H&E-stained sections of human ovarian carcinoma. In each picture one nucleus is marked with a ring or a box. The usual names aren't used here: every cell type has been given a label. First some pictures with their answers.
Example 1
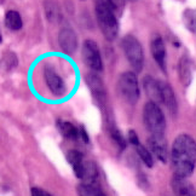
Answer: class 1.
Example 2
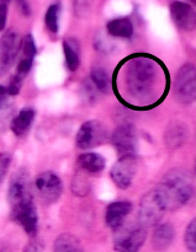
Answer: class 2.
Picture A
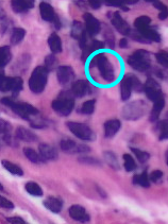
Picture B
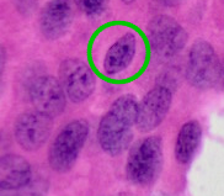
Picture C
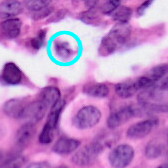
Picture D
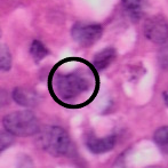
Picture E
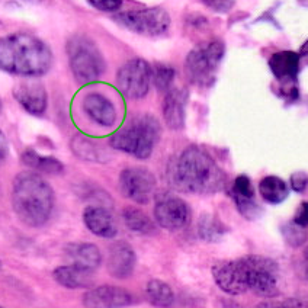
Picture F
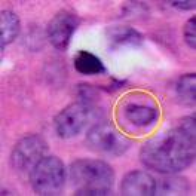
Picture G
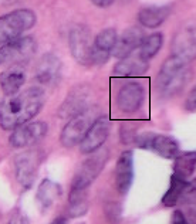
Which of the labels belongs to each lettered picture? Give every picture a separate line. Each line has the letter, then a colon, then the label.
A: class 2.
B: class 1.
C: class 2.
D: class 2.
E: class 1.
F: class 1.
G: class 2.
